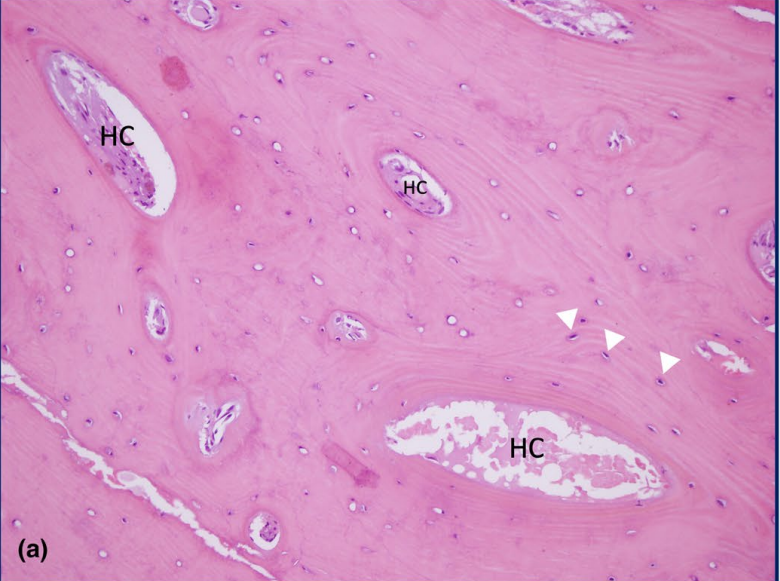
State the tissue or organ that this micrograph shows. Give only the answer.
Lamellar cortical bone.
